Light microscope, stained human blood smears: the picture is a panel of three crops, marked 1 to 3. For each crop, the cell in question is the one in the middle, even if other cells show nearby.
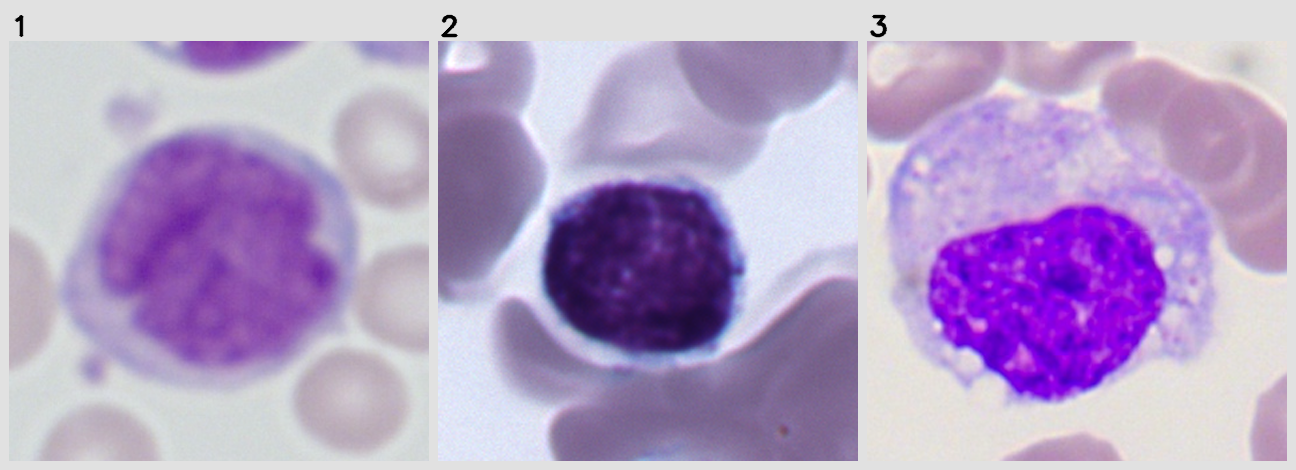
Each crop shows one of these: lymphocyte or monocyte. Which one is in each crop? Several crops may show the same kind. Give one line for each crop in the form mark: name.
1: monocyte
2: lymphocyte
3: monocyte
